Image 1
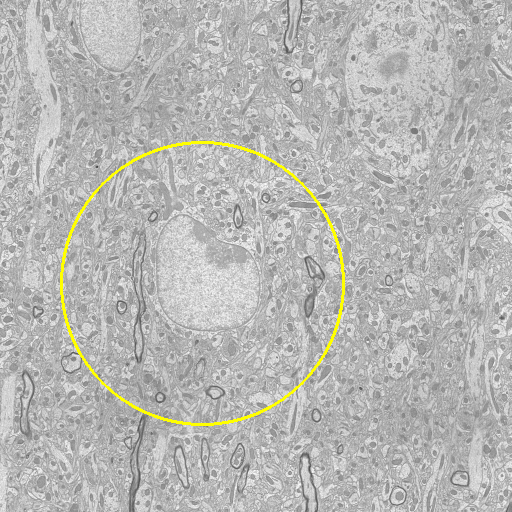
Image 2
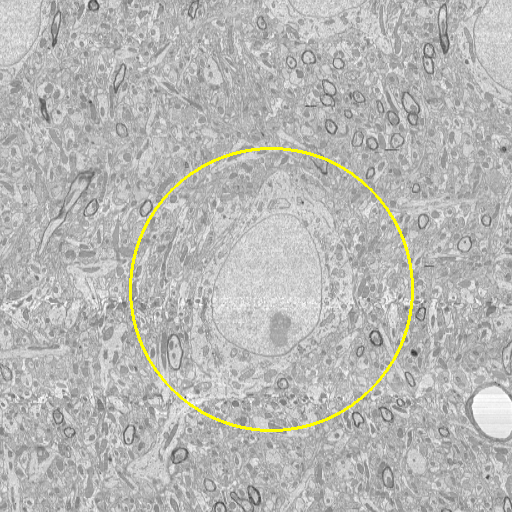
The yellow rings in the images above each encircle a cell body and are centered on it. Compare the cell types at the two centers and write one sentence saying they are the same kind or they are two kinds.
Taken together, the two cells at the ring centers are two kinds.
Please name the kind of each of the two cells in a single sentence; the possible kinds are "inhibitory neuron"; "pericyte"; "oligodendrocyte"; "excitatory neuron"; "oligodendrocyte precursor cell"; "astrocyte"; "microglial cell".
In the first picture the ring is centred on an astrocyte, and in the second on an excitatory neuron.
